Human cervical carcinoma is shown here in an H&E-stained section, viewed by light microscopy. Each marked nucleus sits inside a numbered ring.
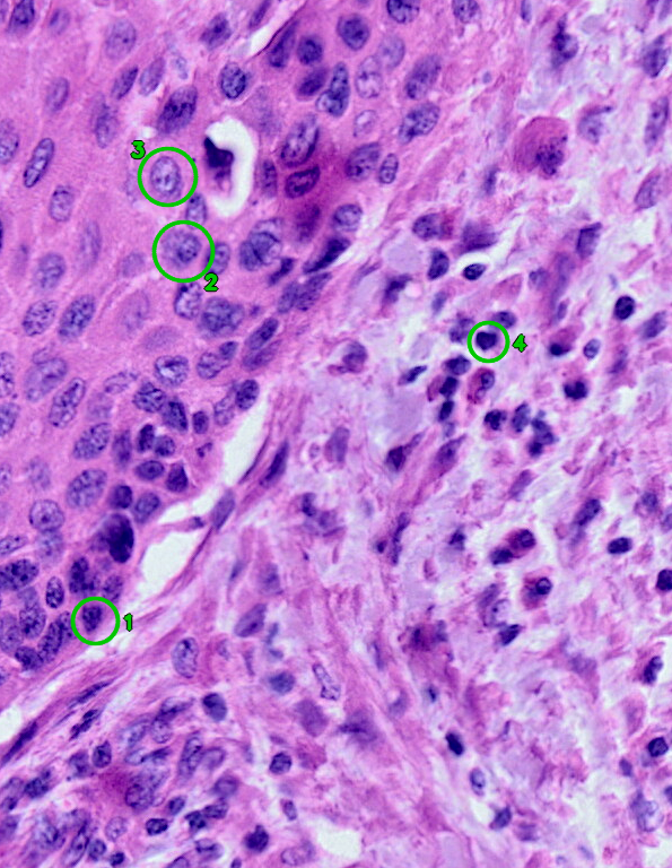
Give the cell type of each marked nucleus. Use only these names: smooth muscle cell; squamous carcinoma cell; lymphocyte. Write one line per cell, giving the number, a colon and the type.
1: squamous carcinoma cell
2: squamous carcinoma cell
3: squamous carcinoma cell
4: lymphocyte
